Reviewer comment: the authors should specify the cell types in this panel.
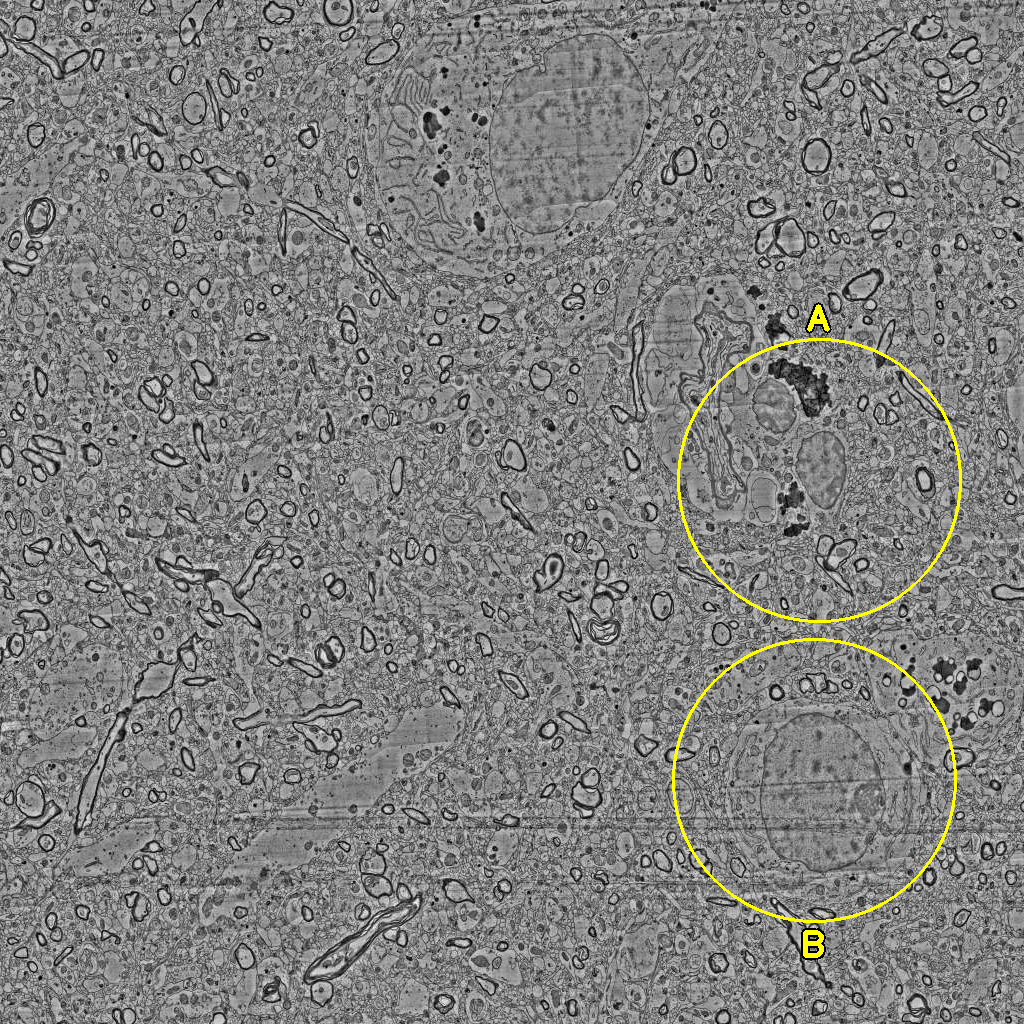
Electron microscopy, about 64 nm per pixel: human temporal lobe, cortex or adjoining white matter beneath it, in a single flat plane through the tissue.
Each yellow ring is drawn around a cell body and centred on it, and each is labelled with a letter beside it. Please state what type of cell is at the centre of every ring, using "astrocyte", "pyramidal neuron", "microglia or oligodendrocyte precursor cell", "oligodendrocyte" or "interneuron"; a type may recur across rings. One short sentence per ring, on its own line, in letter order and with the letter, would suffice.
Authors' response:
The cell centred within ring A is an oligodendrocyte.
The cell centred within ring B is an interneuron.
